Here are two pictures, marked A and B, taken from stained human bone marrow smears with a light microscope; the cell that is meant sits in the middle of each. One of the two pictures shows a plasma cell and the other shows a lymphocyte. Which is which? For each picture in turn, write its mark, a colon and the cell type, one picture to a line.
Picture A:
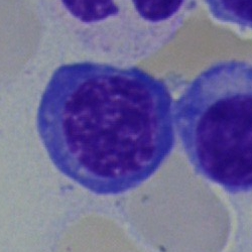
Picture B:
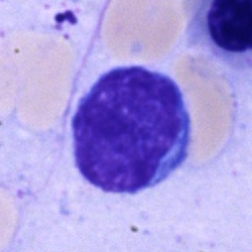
A: plasma cell
B: lymphocyte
